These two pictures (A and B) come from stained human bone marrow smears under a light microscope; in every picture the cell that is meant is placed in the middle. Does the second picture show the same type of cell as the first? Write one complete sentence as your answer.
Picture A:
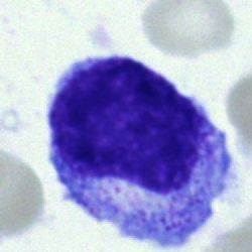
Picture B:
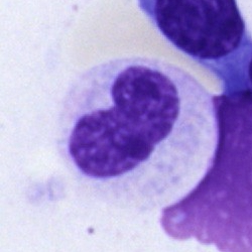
No, they differ: the cell is a myelocyte in picture A and a metamyelocyte in picture B.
